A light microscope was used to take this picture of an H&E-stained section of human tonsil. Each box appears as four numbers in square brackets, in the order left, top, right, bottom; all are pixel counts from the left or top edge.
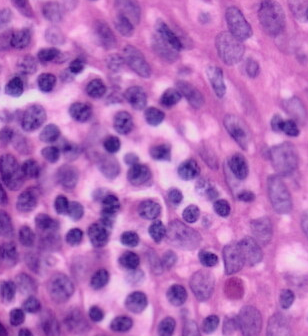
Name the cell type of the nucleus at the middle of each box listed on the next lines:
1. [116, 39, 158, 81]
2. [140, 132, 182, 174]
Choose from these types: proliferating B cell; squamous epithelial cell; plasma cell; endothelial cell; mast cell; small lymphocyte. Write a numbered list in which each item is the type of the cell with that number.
1. squamous epithelial cell
2. plasma cell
